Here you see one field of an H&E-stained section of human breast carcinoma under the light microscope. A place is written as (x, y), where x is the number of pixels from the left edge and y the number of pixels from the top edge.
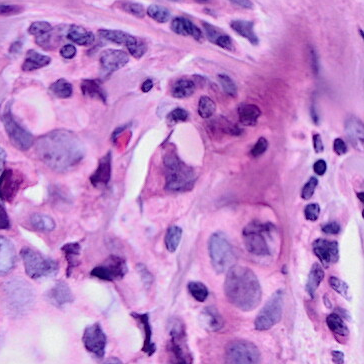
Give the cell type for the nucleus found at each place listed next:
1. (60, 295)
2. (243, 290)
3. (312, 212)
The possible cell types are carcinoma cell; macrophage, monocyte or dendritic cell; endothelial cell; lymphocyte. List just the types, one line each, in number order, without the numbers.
carcinoma cell
carcinoma cell
lymphocyte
